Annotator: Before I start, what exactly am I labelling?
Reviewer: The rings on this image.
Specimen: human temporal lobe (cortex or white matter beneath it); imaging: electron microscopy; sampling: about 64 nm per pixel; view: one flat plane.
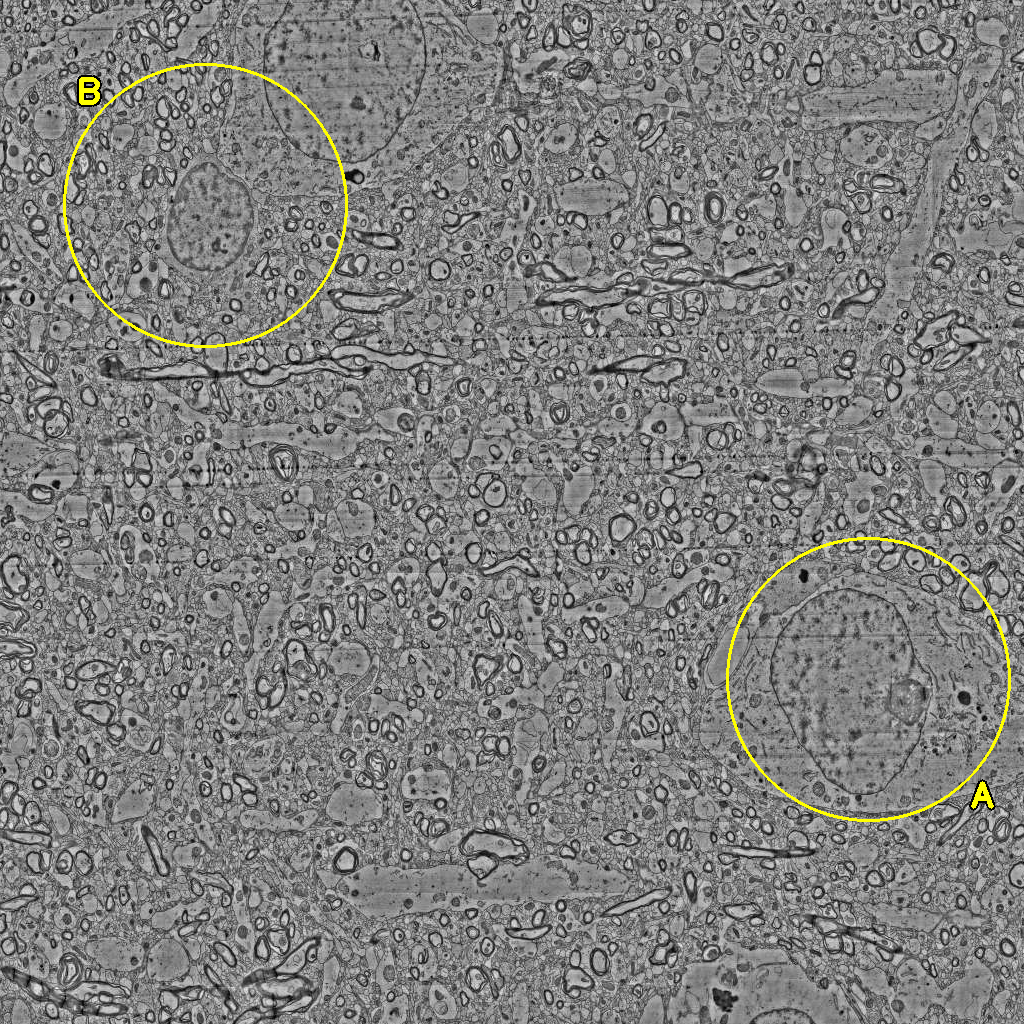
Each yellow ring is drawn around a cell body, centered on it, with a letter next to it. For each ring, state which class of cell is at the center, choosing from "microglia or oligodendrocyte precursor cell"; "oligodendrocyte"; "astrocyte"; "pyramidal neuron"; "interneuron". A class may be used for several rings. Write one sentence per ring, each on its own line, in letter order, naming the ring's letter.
At the center of ring A we have a pyramidal neuron.
At the center of ring B we have an oligodendrocyte.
